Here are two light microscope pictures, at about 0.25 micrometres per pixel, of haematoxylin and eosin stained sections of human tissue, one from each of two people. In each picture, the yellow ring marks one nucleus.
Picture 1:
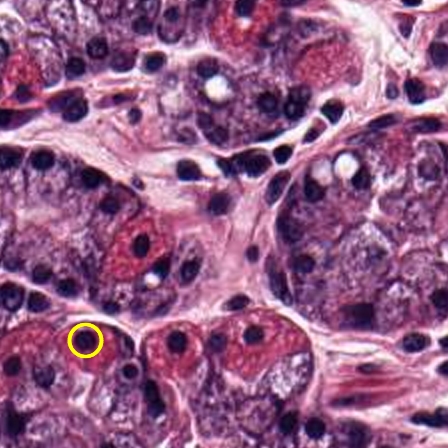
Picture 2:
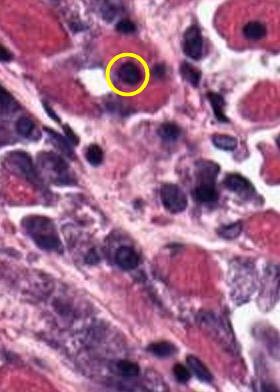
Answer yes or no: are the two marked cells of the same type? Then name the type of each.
Yes, both are parietal cells.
